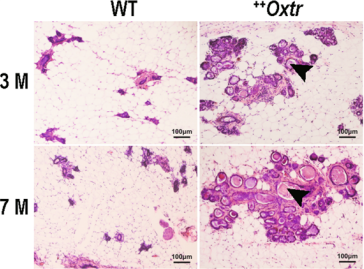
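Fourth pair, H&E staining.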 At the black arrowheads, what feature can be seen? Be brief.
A: ducts full of proteinaceous material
